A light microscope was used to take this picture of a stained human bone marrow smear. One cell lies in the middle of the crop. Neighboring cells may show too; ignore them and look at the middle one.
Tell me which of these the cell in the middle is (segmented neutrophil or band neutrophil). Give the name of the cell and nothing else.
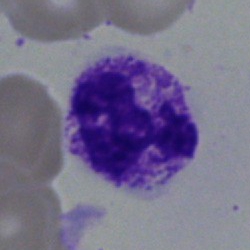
segmented neutrophil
